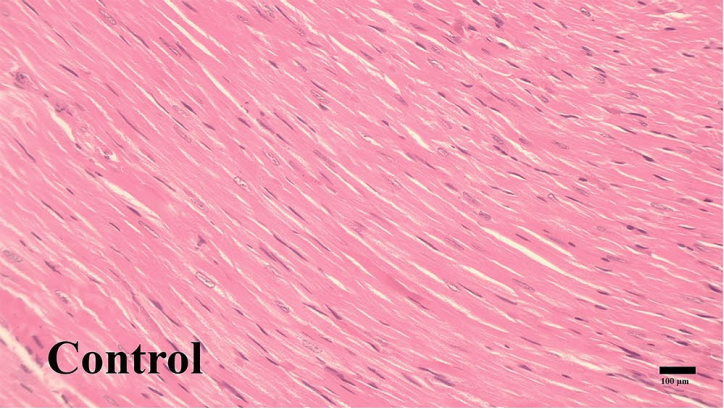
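Heart muscle tissue cut along the length of its fibres, made of closely packed cardiac muscle cells running diagonally in parallel across the field. The fibres have evenly pink cytoplasm and are separated only by narrow pale clefts. Their nuclei are elongated, oval and purple, scattered regularly along the fibres and aligned with them. No vessels filled with blood, no glassy areas and no disrupted or fragmented fibres are seen; the arrangement is uniform throughout the field.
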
